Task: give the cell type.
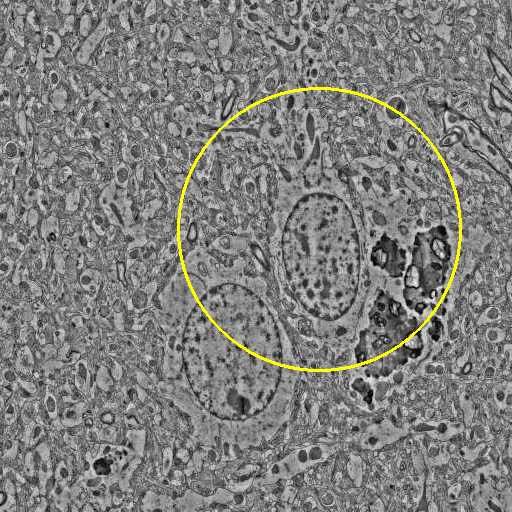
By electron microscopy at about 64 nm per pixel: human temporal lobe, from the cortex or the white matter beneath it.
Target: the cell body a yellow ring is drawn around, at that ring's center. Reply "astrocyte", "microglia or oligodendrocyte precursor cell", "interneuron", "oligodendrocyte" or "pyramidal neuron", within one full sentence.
In this picture, the cell whose body lies at the ring's center is an astrocyte.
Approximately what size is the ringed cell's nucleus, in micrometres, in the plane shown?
The nucleus is approximately 8 micrometres long but only about 5 wide, clearly longer than it is wide in this plane.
